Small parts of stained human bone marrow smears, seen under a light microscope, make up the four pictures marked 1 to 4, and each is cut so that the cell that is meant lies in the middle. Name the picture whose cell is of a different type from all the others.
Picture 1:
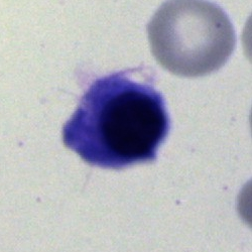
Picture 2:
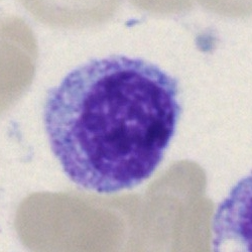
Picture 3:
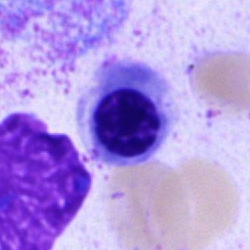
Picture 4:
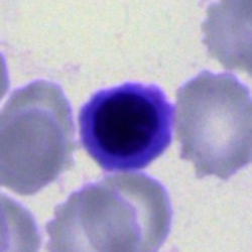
2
